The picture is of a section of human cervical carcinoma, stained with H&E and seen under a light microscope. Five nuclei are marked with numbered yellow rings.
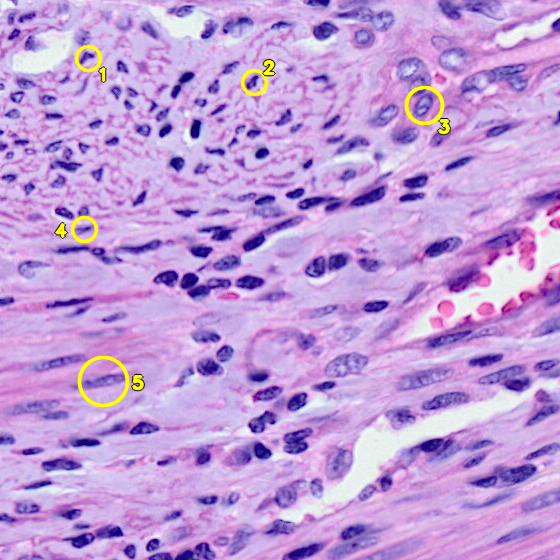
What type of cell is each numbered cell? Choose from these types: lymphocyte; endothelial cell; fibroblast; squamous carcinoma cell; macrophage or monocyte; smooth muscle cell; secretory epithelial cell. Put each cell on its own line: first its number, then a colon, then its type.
1: fibroblast
2: smooth muscle cell
3: endothelial cell
4: fibroblast
5: smooth muscle cell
